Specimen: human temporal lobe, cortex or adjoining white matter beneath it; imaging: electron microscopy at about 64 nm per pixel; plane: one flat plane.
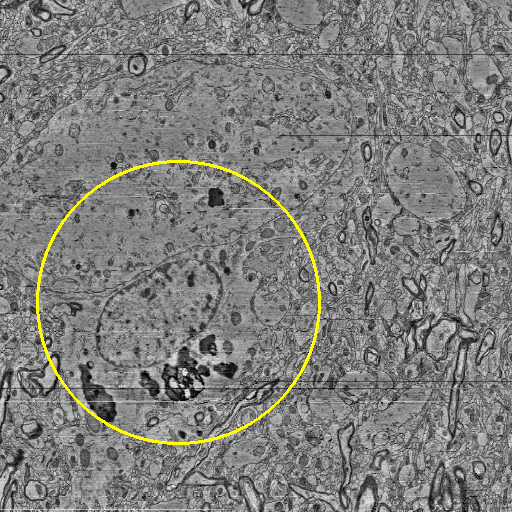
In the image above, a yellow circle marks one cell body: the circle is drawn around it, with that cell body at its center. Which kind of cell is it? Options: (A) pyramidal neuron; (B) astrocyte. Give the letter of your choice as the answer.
B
